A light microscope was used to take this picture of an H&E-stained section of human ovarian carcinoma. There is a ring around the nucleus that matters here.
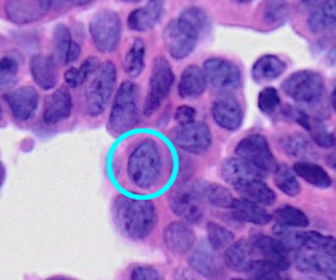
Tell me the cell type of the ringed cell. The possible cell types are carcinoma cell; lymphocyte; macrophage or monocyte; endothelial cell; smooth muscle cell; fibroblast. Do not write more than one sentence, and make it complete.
In the stained section, the ringed cell is a carcinoma cell.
